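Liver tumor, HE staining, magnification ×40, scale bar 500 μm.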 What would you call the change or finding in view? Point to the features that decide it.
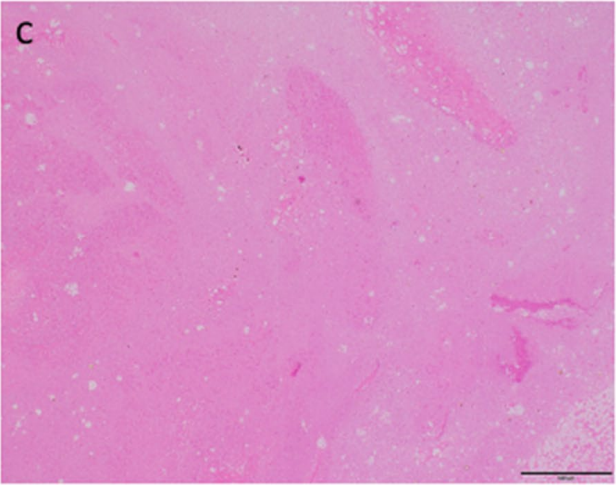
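Broad pale pink tissue with no intact nuclei. Only faint outlines remain of the former tissue. Small empty spaces scattered through the pale pink material.
Necrosis.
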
